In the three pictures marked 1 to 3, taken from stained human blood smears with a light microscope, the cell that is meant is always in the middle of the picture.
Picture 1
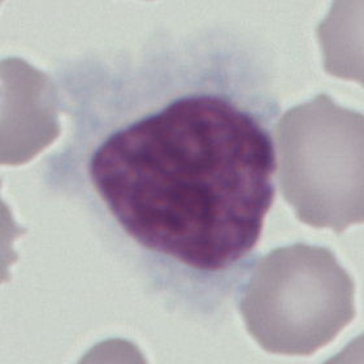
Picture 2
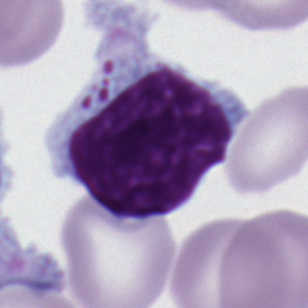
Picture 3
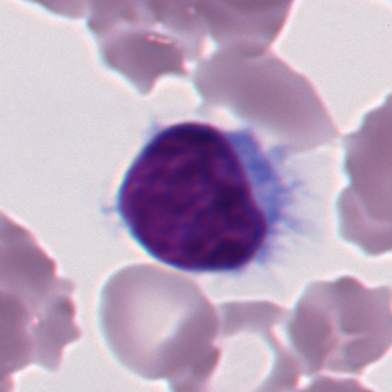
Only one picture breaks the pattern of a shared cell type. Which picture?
2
